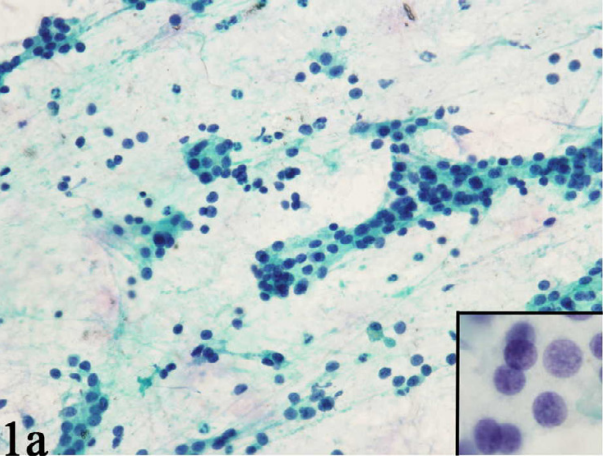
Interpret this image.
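The nuclei are small, round and fairly uniform in size. Cytoplasm is scant and pale and is hard to make out around many nuclei. Some groups form elongated strands, and pale blue-green strands of background material run between them. At high magnification the nuclei show finely stippled chromatin.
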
